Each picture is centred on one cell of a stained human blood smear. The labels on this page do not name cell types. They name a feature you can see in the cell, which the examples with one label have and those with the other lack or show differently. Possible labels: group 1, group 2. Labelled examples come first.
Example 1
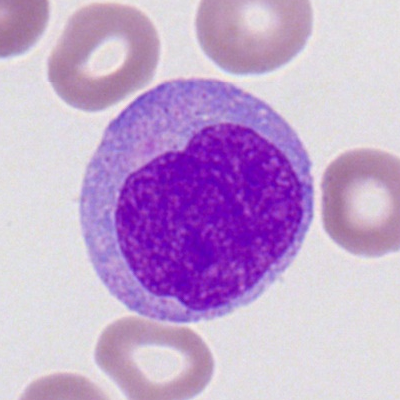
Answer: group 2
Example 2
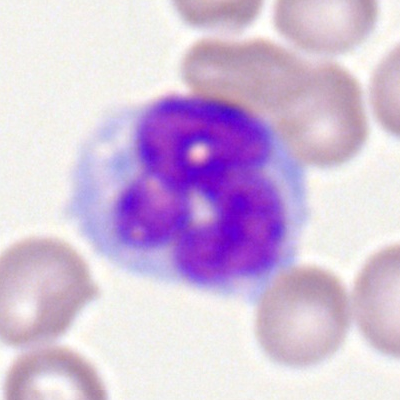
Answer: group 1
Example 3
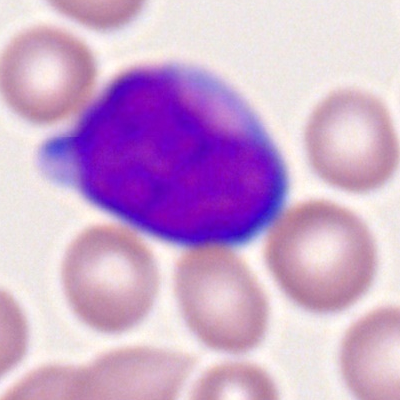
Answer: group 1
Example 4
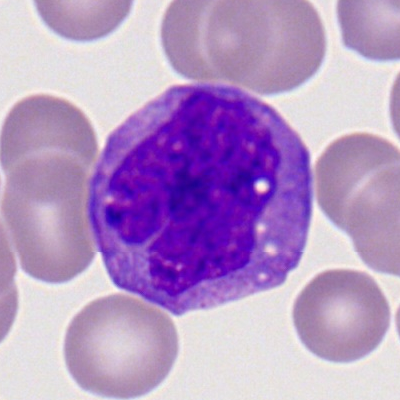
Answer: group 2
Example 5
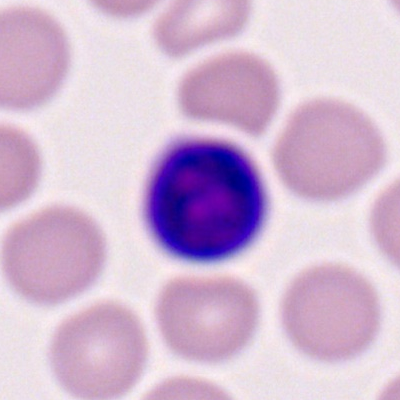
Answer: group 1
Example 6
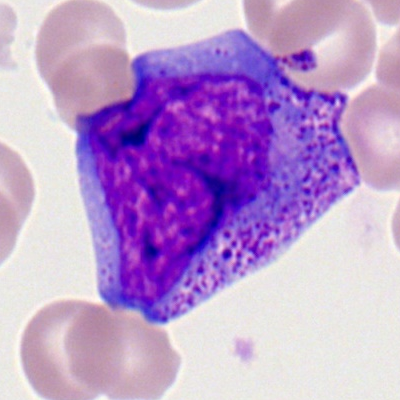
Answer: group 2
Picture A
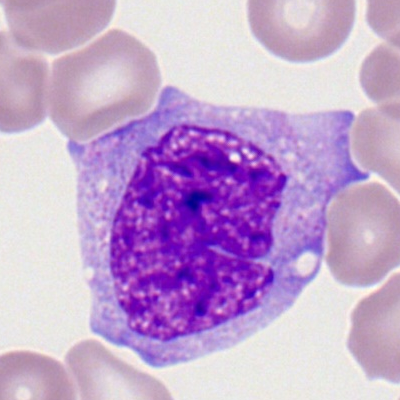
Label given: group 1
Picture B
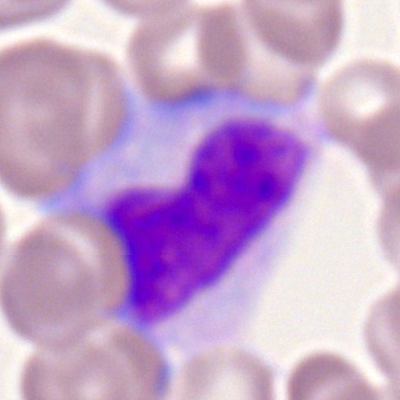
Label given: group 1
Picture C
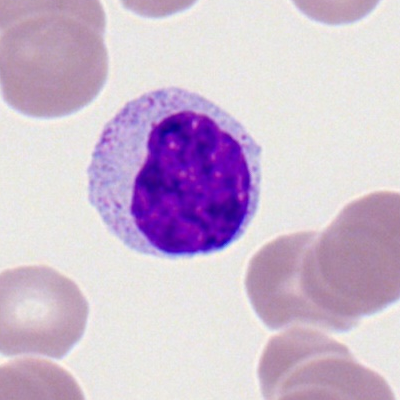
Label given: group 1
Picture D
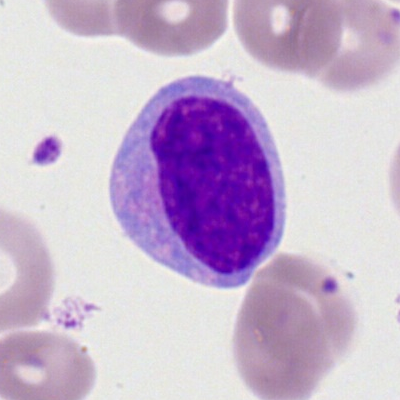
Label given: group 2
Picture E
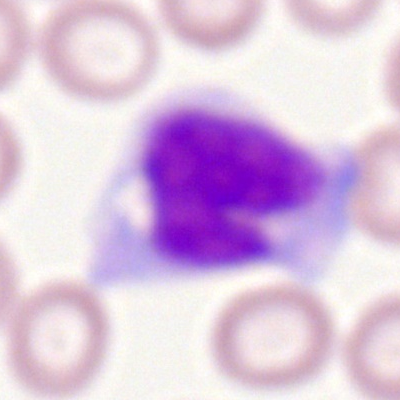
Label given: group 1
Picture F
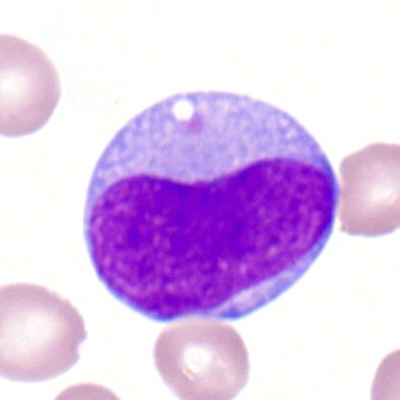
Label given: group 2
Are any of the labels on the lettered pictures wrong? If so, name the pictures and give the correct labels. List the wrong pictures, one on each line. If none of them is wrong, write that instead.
Wrong: A (group 1); correct: group 2
Wrong: C (group 1); correct: group 2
